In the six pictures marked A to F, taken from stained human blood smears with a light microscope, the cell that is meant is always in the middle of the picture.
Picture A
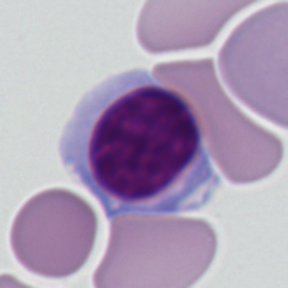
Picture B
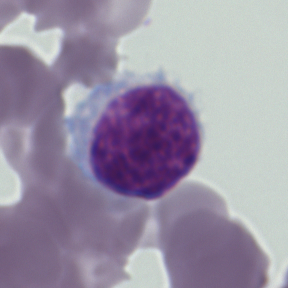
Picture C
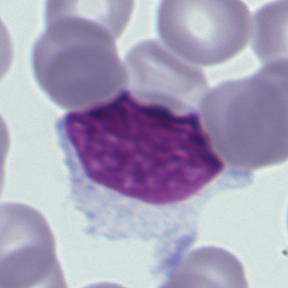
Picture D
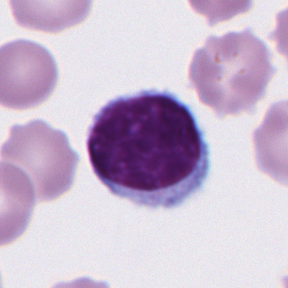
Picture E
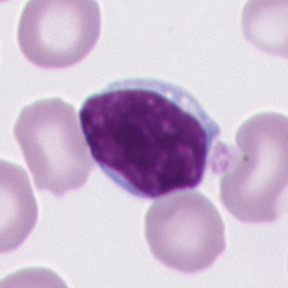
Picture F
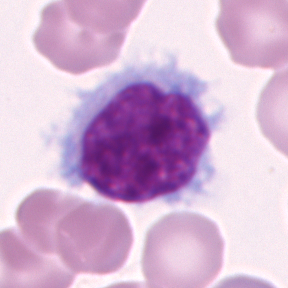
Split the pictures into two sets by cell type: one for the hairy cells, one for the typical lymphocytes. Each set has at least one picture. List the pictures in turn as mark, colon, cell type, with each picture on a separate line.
A: typical lymphocyte
B: hairy cell
C: typical lymphocyte
D: typical lymphocyte
E: typical lymphocyte
F: hairy cell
